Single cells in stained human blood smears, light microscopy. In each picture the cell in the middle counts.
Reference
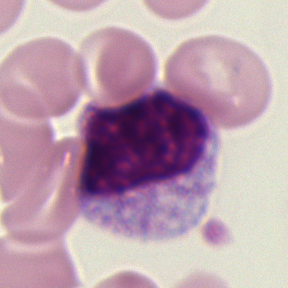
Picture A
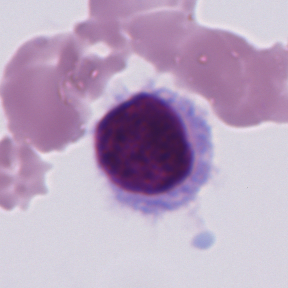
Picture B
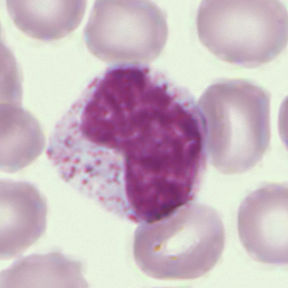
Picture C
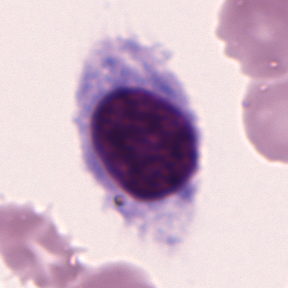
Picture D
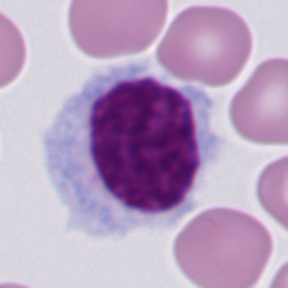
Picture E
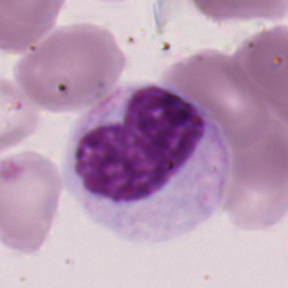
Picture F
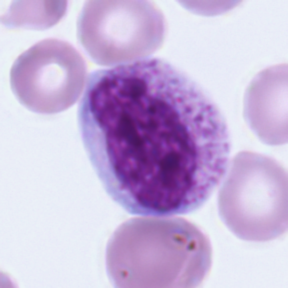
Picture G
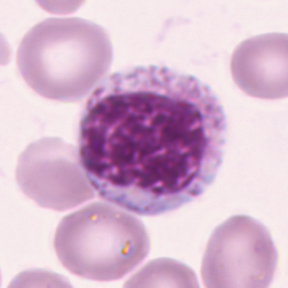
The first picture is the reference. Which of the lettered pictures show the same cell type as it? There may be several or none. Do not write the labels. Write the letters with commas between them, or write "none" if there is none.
B, E, F, G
